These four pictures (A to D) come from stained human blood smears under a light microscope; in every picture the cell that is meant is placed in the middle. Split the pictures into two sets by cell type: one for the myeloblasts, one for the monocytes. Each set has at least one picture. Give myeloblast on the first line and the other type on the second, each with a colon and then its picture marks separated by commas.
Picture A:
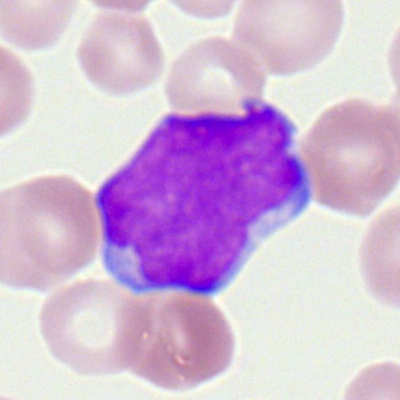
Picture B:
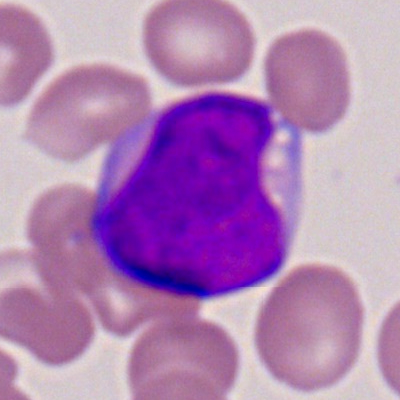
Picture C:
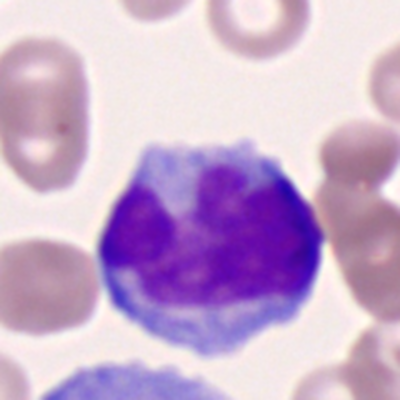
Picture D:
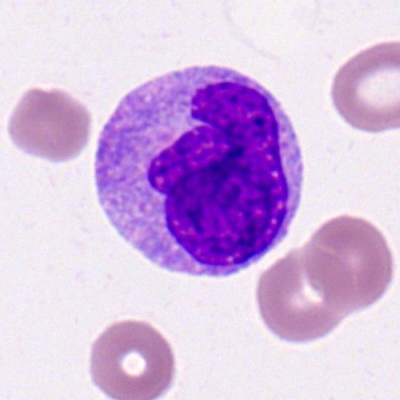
myeloblast: A, B
monocyte: C, D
